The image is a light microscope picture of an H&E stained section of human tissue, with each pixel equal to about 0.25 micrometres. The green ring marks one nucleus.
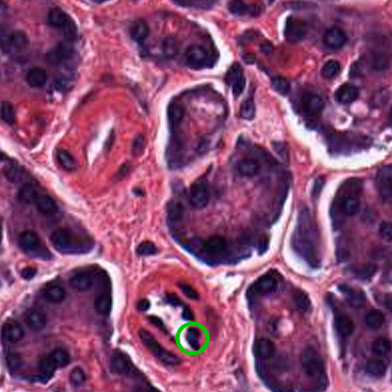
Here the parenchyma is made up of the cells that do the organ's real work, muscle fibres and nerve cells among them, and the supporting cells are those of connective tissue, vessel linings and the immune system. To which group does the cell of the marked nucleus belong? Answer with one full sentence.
The marked nucleus is that of a supporting cell.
